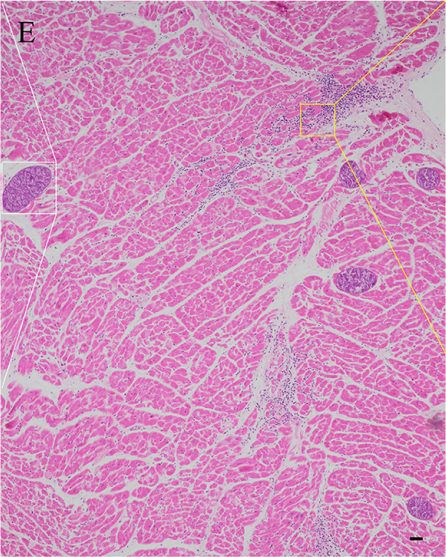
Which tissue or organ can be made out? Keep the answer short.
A: Myocardium.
